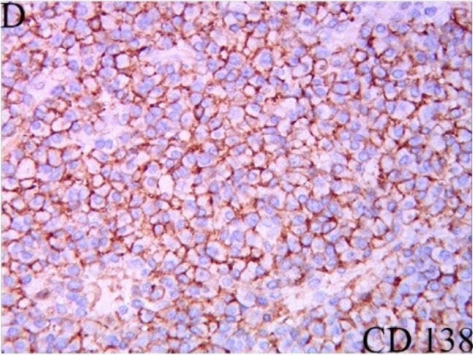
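Sheets of densely packed plasma cells, nearly all outlined by brown staining along their cell membranes. Each cell has a round blue nucleus, often off-centre, within pale cytoplasm, and a few unstained strands and cells lie between the groups.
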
